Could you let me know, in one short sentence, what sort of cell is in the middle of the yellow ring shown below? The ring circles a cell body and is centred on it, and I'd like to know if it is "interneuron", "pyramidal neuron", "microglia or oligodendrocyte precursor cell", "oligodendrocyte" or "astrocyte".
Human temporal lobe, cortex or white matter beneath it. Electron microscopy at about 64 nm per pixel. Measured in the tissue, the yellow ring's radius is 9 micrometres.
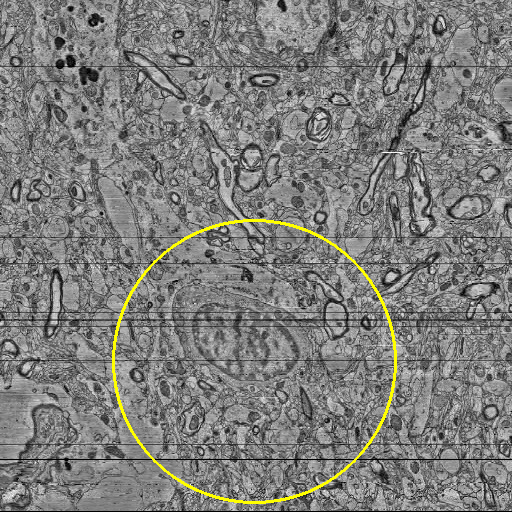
The ring circles the cell body of an oligodendrocyte.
